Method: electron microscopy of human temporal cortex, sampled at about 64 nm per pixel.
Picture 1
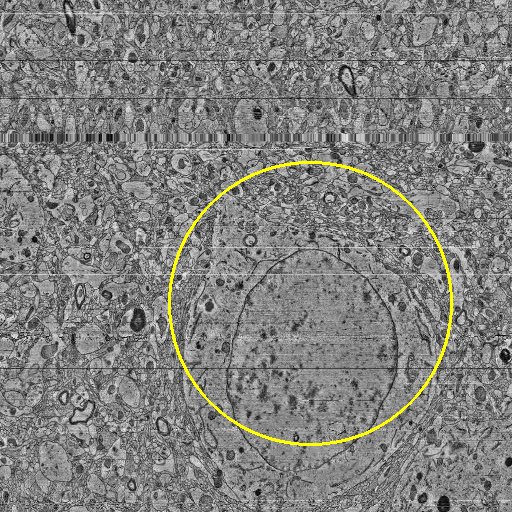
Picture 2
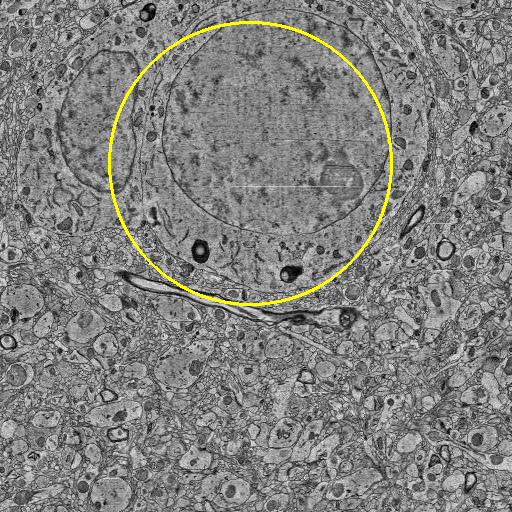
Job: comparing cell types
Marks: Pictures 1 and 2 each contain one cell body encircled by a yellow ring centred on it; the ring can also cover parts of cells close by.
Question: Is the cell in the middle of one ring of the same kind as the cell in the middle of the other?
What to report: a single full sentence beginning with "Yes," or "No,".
Yes, the cell at the ring centre in Picture 1 and its partner in Picture 2 are of one kind.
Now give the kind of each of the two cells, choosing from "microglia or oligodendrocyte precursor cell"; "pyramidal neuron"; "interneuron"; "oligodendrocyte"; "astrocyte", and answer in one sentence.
The first and the second cell are each a pyramidal neuron.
